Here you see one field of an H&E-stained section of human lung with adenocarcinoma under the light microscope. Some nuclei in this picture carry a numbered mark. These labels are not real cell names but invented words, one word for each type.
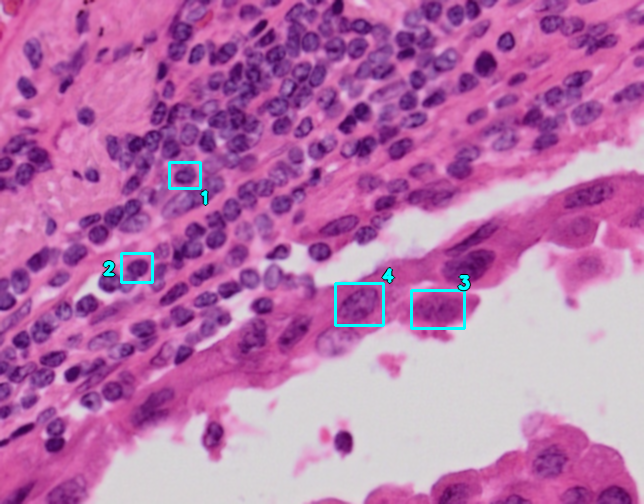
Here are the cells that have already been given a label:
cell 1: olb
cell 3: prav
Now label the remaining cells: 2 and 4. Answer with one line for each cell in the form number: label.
2: olb
4: prav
